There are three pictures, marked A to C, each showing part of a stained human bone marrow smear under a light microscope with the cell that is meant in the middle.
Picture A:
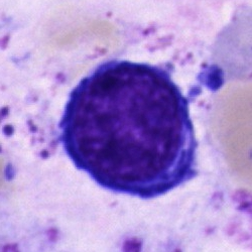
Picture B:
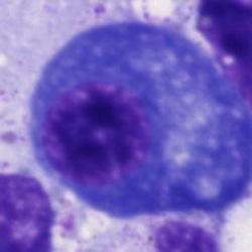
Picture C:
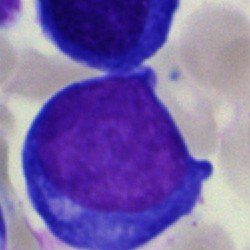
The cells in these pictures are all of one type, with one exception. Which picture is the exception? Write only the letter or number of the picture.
B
